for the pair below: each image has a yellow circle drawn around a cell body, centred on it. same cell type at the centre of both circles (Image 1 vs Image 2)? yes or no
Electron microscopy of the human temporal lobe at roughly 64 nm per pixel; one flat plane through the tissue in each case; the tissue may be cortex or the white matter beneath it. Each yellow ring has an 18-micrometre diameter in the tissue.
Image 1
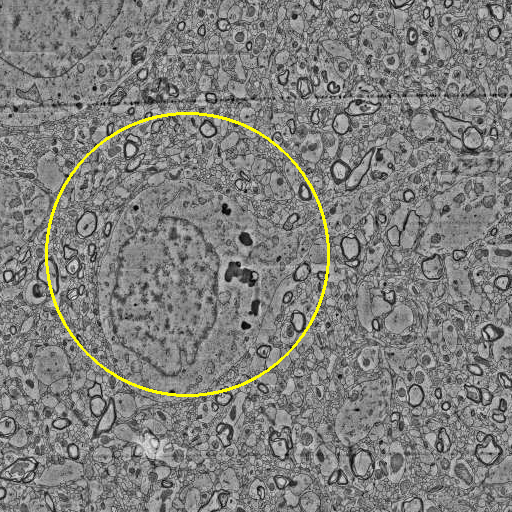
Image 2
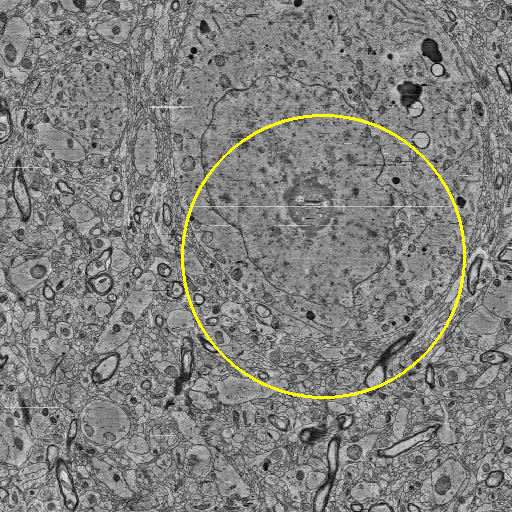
no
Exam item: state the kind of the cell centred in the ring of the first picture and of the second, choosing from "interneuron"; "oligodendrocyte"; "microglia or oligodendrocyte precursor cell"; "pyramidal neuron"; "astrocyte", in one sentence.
The first picture shows an interneuron at the ring centre and the second shows a pyramidal neuron.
